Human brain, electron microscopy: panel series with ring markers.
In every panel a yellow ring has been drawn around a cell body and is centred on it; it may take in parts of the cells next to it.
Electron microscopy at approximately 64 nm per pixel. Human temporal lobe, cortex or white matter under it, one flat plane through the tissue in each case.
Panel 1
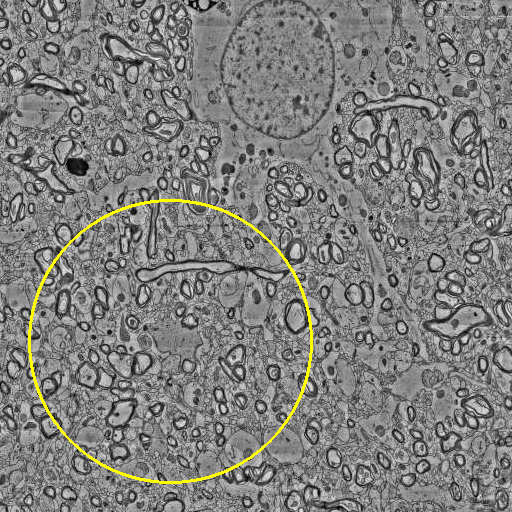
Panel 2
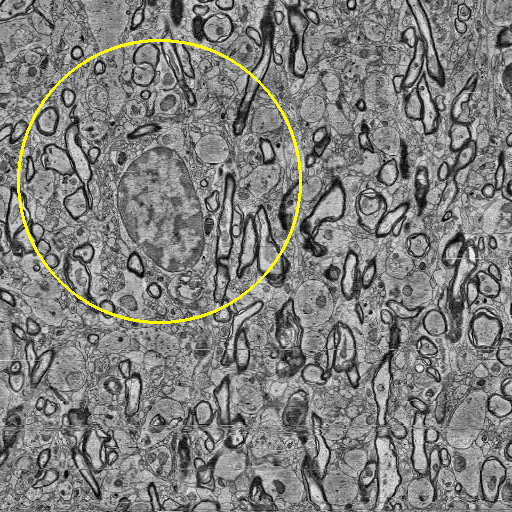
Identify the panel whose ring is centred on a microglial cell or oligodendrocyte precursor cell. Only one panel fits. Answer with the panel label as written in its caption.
Panel 2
